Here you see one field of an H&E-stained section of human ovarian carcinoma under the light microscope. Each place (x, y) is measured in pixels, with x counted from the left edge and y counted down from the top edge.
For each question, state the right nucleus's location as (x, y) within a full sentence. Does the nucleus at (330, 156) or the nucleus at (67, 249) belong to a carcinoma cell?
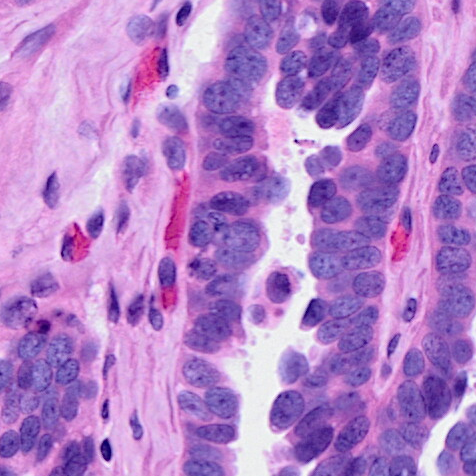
Belonging to a carcinoma cell is the nucleus at (330, 156).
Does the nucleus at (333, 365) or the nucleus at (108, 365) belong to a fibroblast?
It is the nucleus at (108, 365) that forms part of a fibroblast.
